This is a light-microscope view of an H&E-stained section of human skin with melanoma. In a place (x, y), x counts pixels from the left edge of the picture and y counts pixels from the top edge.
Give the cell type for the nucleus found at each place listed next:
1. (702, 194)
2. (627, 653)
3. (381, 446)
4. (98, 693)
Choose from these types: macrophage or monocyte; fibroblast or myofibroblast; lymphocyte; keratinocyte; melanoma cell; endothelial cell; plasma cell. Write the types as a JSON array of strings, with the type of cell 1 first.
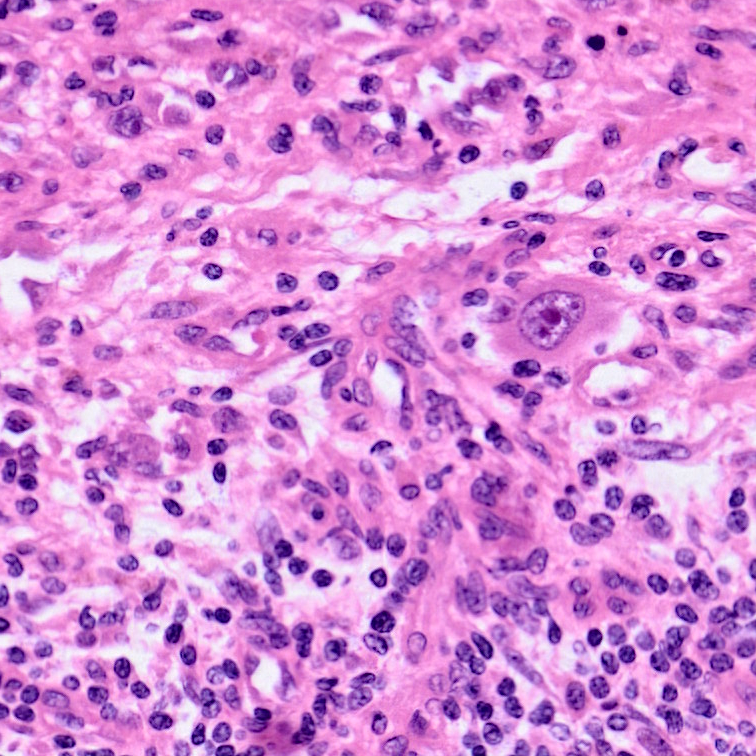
["macrophage or monocyte", "lymphocyte", "lymphocyte", "lymphocyte"]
